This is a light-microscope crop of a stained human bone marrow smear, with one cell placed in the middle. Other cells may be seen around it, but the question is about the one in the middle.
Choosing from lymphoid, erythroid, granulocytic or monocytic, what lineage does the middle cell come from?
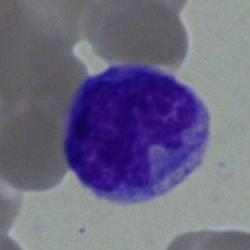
monocytic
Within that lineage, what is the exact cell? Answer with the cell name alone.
monocyte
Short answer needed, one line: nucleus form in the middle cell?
A single compact nucleus, round, oval or kidney-shaped, is what this cell shows.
